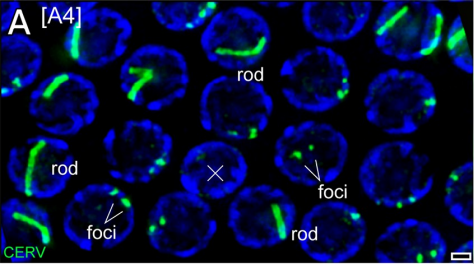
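Germ nuclei of a gonad are packed side by side, each round and of similar size, with blue chromatin arranged around a darker central region. Some nuclei show no green bar at all, among them one marked with a cross. Bars lie at different angles from nucleus to nucleus, and a few appear shortened or seen end-on.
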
